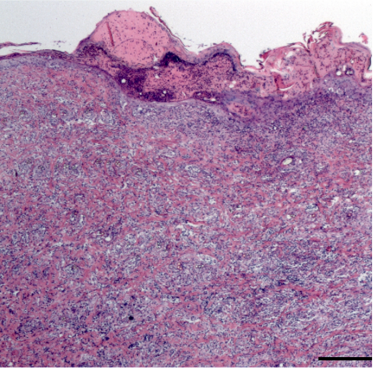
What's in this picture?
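This is a section of skin at low power in which the surface and dermis look densely cellular. At the top a pink, smudgy crust-like layer sits over a dark purple band of tightly packed cells. The underlying dermis is filled with many small dark purple nuclei scattered among pink collagen, giving a mottled pink-and-purple appearance throughout. Hair follicles and other adnexal structures are hard to make out, and the usual layered architecture is largely effaced.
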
